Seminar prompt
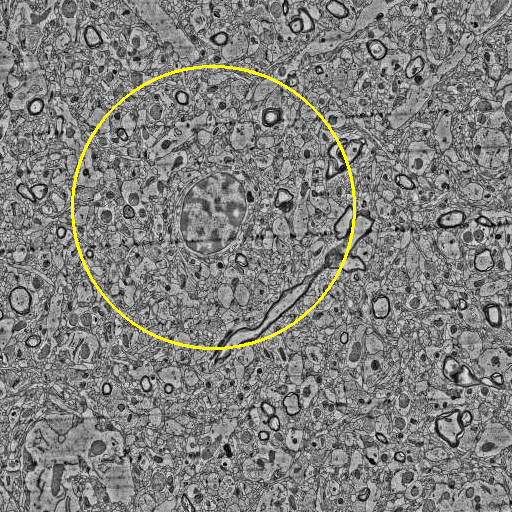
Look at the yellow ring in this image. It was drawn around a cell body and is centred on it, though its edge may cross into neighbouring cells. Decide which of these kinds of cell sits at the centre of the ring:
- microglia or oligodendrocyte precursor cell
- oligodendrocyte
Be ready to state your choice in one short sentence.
The kind of cell at the ring's centre is a microglial cell or oligodendrocyte precursor cell.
